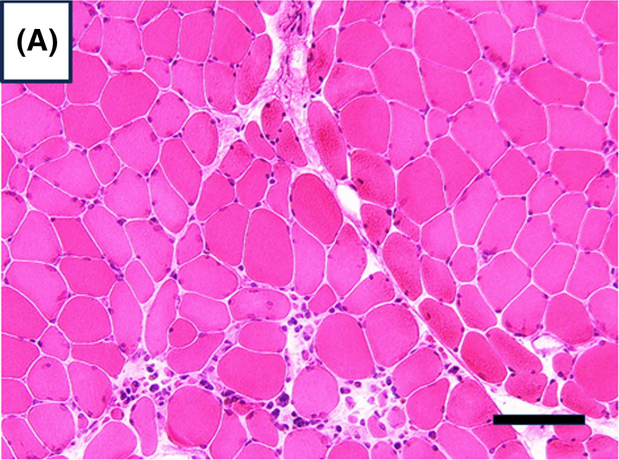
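This is skeletal muscle in cross-section, with polygonal muscle fibers stained pink and small dark purple nuclei at their edges. The fibers vary somewhat in size, with smaller fibers mixed among larger ones. A band of pale connective tissue runs diagonally between fascicles. Near the lower left, small round dark nuclei cluster in widened spaces between fibers. The spaces between individual fibers are slightly widened in places.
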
